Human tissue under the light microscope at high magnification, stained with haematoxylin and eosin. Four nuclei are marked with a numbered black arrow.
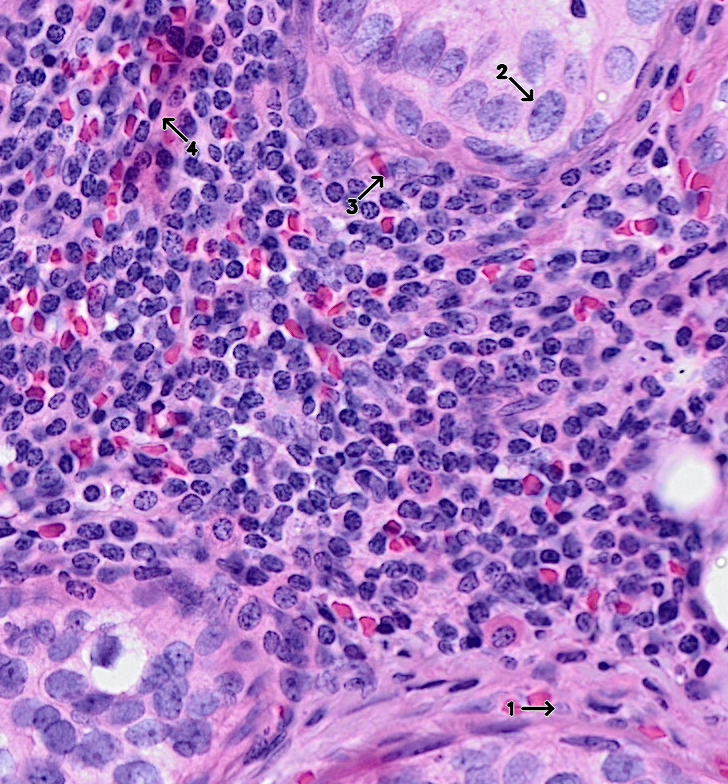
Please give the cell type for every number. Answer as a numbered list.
1. endothelial cell
2. carcinoma cell
3. endothelial cell
4. lymphocyte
